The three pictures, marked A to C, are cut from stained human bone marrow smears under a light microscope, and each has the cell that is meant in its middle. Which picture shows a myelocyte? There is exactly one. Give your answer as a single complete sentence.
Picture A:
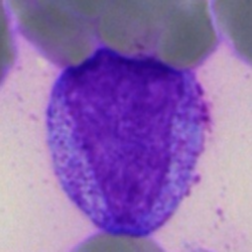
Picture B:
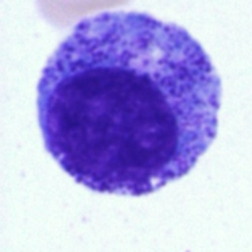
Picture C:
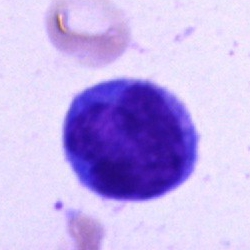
The picture with the myelocyte is A.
